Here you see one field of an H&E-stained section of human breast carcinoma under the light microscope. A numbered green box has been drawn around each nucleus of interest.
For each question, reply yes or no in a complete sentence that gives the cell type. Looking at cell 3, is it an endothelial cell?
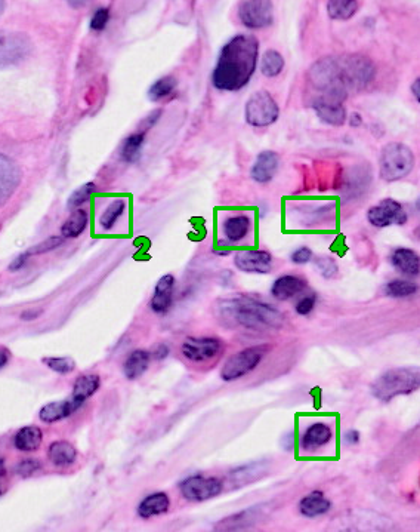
No, the cell tagged 3 is a lymphocyte, and not an endothelial cell.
